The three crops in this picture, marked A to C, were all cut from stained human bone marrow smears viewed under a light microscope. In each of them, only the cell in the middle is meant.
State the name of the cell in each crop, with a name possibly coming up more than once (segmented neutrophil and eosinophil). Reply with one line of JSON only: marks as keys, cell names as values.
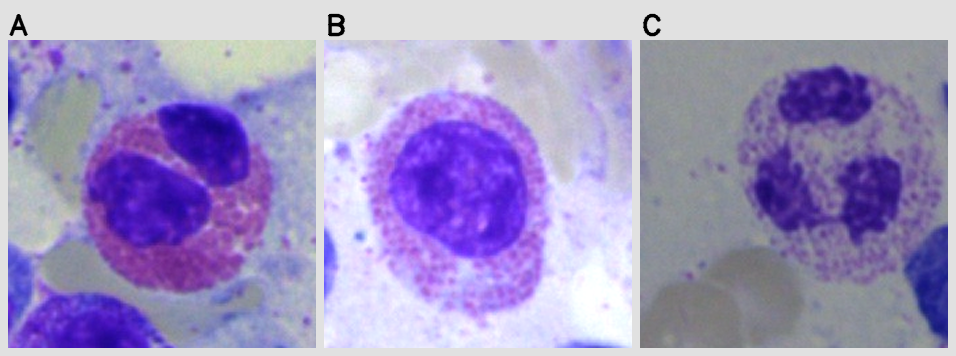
{"A": "eosinophil", "B": "eosinophil", "C": "segmented neutrophil"}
